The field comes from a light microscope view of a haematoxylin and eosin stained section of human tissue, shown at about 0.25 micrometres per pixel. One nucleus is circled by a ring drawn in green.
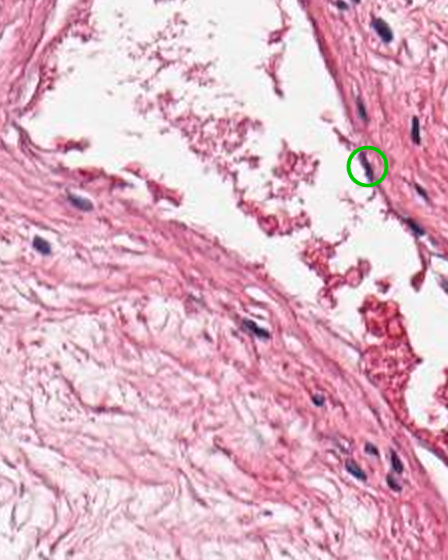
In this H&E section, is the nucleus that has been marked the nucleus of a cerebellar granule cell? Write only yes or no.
no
